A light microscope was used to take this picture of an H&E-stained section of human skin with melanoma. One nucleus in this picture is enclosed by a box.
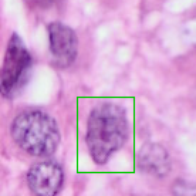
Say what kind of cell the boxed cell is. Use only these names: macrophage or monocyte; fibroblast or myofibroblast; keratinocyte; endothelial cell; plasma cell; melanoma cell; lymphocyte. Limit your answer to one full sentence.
Within this tissue, the boxed cell is a melanoma cell.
